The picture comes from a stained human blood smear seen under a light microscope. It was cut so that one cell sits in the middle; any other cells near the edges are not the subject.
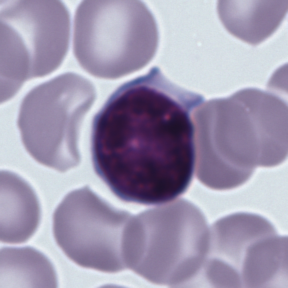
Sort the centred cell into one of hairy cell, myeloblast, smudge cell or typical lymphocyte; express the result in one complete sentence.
By type, the central cell of the crop is a typical lymphocyte.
